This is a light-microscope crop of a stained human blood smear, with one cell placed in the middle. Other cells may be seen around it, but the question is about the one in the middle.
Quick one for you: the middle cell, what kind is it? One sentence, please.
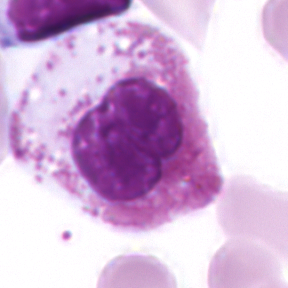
The centrally positioned cell in the crop represents an eosinophil.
